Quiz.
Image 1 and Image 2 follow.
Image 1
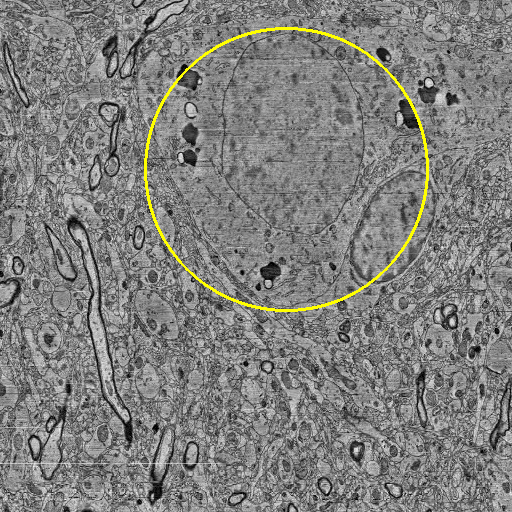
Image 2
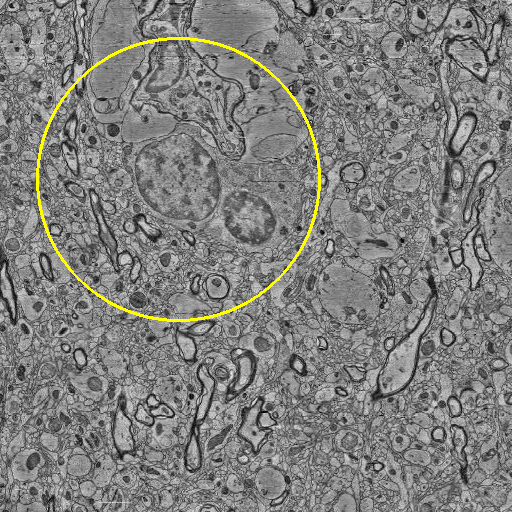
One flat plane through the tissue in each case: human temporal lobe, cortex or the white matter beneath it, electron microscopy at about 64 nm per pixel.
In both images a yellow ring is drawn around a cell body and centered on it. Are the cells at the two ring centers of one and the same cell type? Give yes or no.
no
